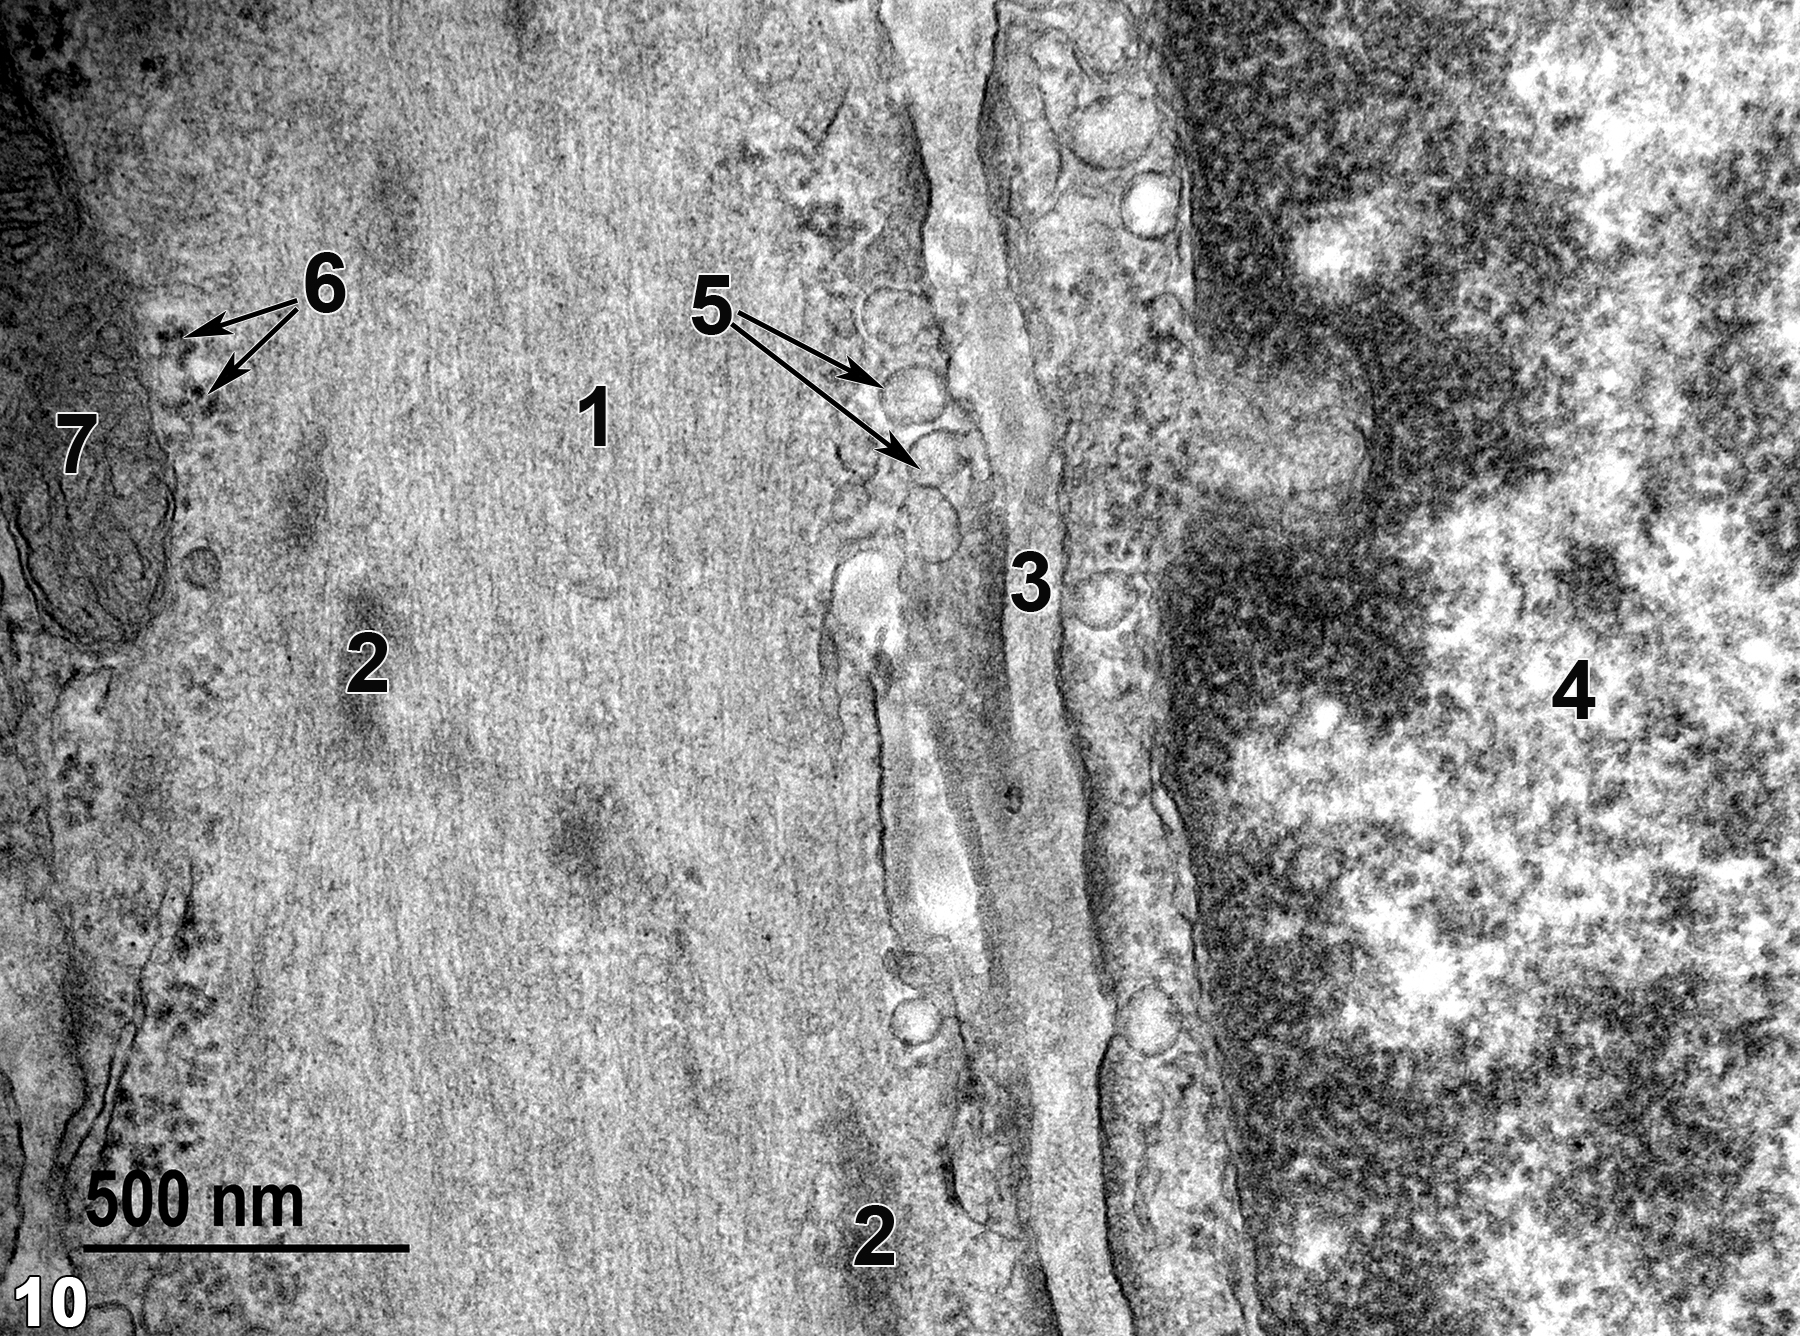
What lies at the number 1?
Actin and myosin filaments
